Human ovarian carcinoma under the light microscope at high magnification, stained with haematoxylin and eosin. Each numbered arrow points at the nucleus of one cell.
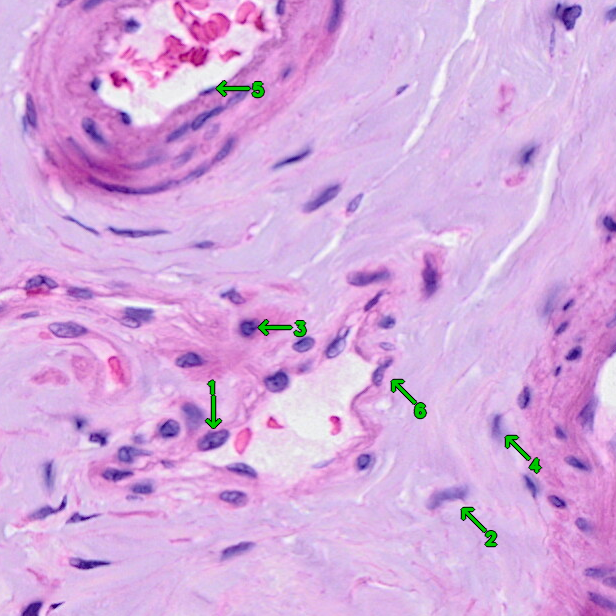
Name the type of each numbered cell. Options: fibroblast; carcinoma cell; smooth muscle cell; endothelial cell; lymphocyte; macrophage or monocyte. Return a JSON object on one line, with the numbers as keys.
{"1": "endothelial cell", "2": "fibroblast", "3": "smooth muscle cell", "4": "fibroblast", "5": "endothelial cell", "6": "endothelial cell"}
